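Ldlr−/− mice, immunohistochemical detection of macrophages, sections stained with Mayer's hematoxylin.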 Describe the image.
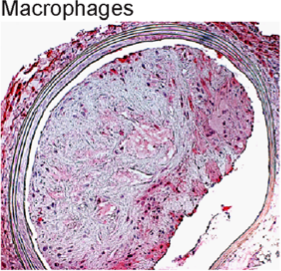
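This section cuts across a vessel wall. Its outer part is a band of wavy, stacked elastic layers, and on its inner side lies a large mass of loose, fibrillar, pale bluish-grey tissue with scattered dark nuclei. Reddish-pink staining gathers along the edges of this mass and in the tissue outside the wall, while the open lumen lies to the lower right.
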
